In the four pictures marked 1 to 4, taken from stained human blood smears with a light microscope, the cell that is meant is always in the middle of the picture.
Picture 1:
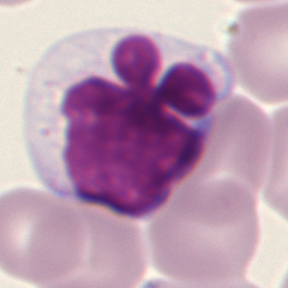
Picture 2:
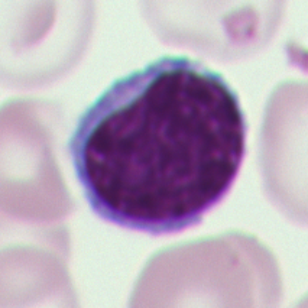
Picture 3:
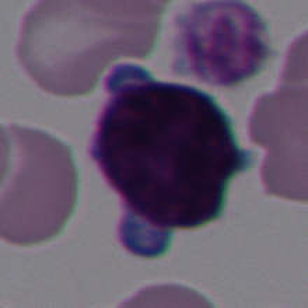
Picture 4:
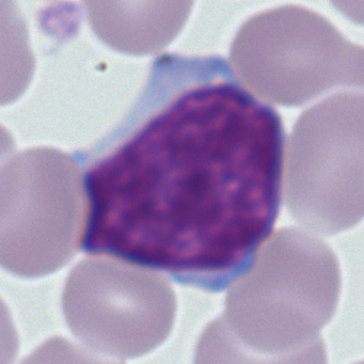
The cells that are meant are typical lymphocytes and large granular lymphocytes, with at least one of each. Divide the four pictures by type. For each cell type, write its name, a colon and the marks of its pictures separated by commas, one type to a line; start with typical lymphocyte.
typical lymphocyte: 2, 3, 4
large granular lymphocyte: 1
